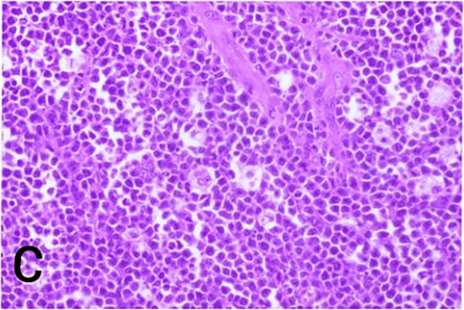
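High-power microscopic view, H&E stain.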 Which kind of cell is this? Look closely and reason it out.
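Monotonous intermediate-size tumor cells. Densely packed sheets of cells of nearly equal size. Round nuclei with scant cytoplasm. No glandular or other organized architecture.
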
